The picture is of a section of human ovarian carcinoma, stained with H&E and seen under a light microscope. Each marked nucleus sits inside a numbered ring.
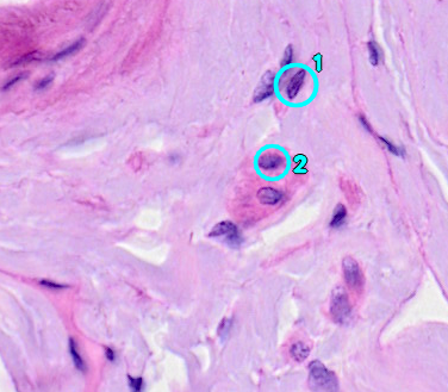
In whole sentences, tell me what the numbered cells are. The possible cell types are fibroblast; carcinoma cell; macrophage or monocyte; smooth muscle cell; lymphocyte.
Cell 1 is a fibroblast. Cell 2 is a smooth muscle cell.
